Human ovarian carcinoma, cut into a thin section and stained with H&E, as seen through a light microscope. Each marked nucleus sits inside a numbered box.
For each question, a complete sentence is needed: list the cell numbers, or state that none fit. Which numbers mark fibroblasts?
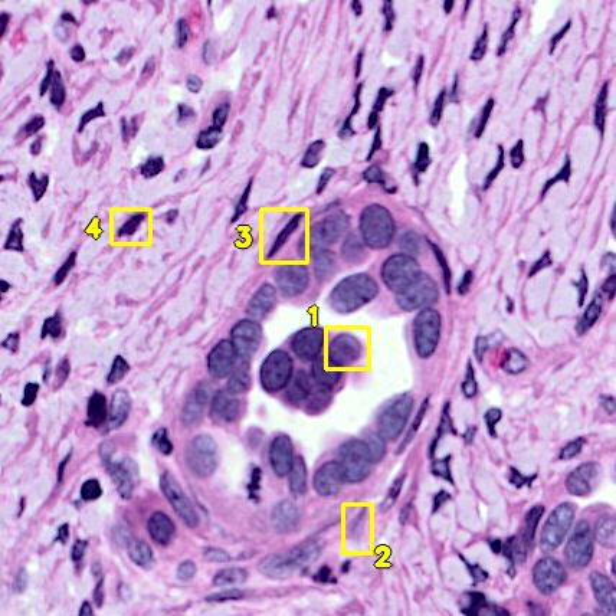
The cells to which the numbers 2, 3 and 4 refer are fibroblasts.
